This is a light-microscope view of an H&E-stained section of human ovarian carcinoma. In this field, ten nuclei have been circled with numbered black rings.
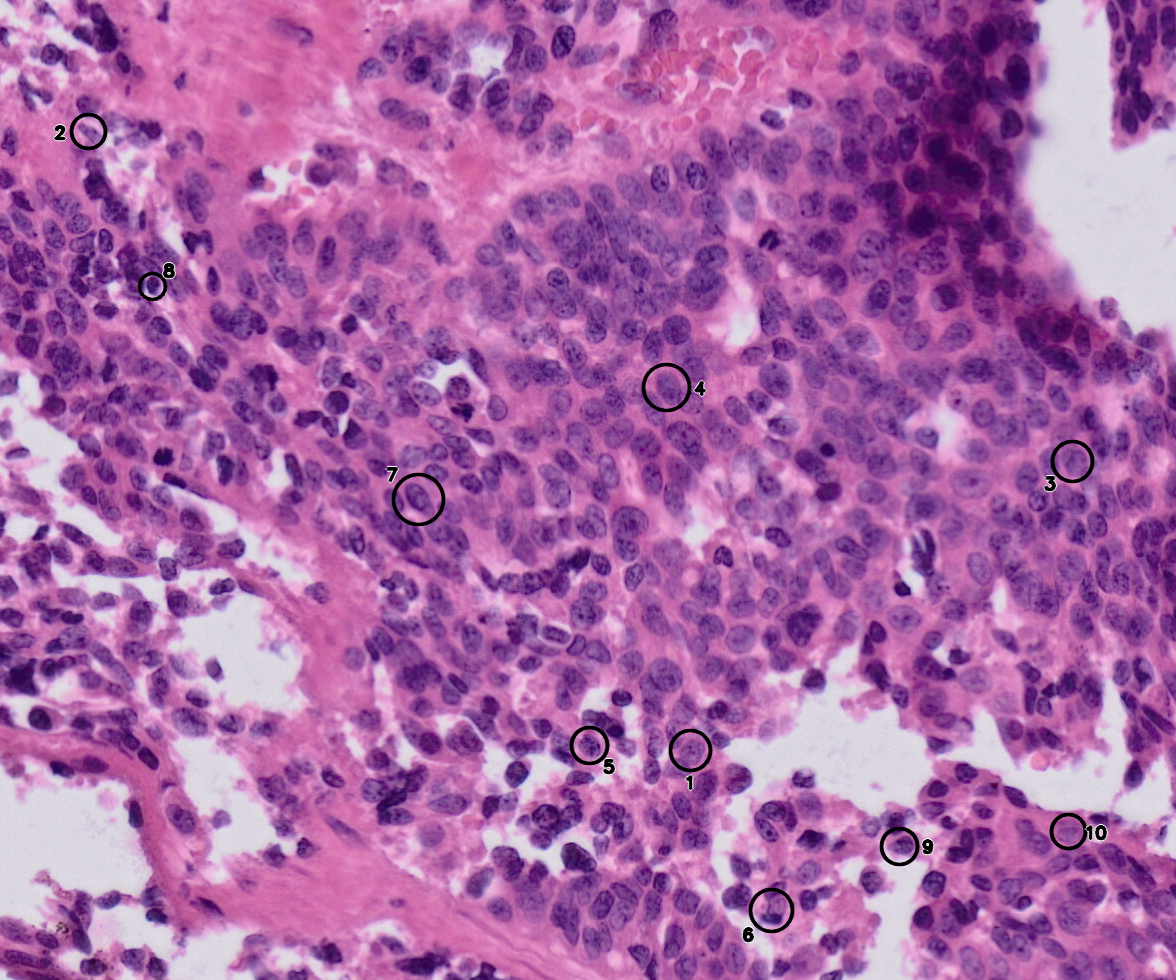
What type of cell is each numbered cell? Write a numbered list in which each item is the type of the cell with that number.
1. carcinoma cell
2. macrophage or monocyte
3. carcinoma cell
4. carcinoma cell
5. macrophage or monocyte
6. macrophage or monocyte
7. carcinoma cell
8. carcinoma cell
9. macrophage or monocyte
10. carcinoma cell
